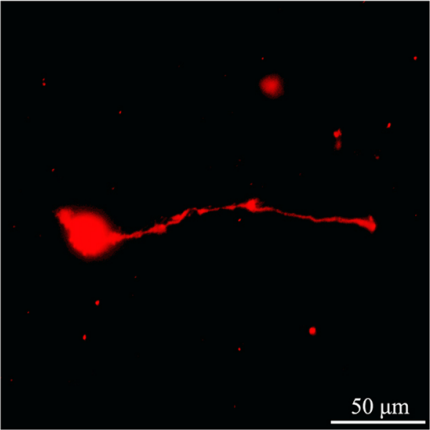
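A cultured neuron appears in red on a dark background. Its rounded cell body lies on the left and is brighter and larger than the surrounding debris. A single unbranched neurite extends horizontally to the right, thickening slightly in places and ending in a small swelling. No second process is visible. Scattered small red dots and one larger blurred round spot lie elsewhere in the field.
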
